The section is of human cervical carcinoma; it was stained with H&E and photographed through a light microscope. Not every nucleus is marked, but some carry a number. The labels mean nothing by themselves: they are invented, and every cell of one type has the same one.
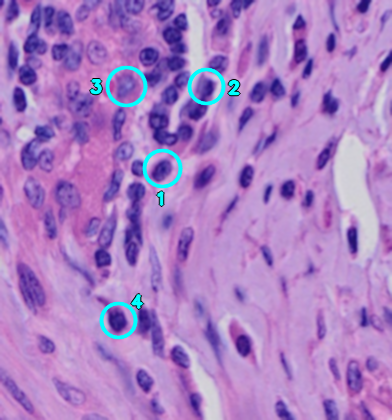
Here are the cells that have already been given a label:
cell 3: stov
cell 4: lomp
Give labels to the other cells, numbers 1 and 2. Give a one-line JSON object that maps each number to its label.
{"1": "lomp", "2": "lomp"}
